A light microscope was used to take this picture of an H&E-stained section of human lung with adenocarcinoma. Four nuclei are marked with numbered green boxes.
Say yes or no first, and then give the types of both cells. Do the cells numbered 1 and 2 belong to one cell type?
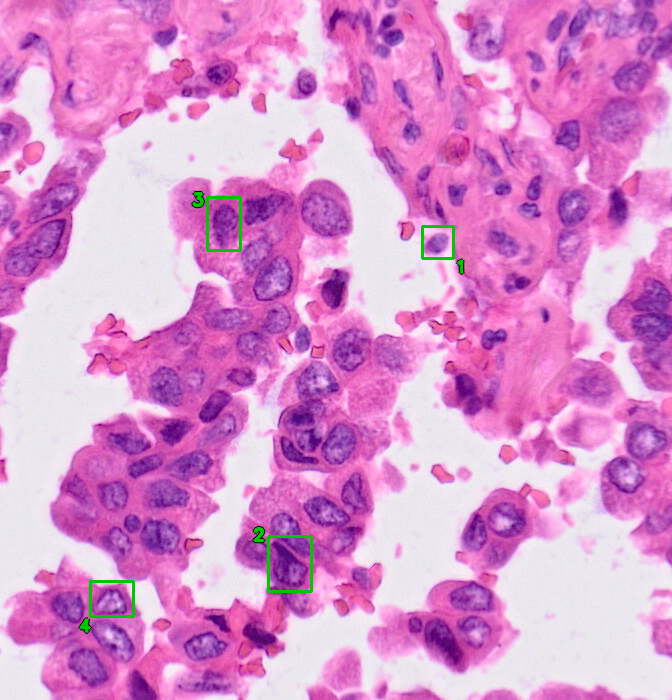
No, cell 1 is a lymphocyte, whereas a carcinoma cell is what cell 2 is.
